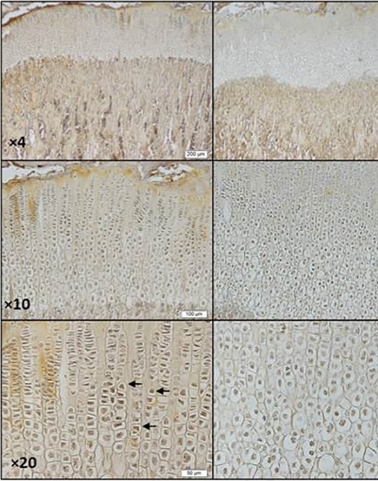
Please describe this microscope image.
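Sections of the growth plate cartilage of a long bone, with chondrocytes in rounded lacunae stacked in vertical columns that run down toward the trabeculae of the ossification zone. At higher power the flattened cells of the upper columns give way to larger, swollen cells further down, set in a pale matrix.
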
